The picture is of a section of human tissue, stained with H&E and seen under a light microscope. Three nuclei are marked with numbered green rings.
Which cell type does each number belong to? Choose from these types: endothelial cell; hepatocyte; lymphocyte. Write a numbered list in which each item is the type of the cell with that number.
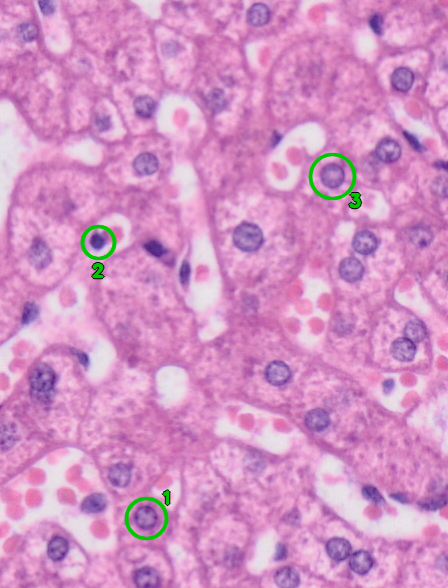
1. hepatocyte
2. lymphocyte
3. hepatocyte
